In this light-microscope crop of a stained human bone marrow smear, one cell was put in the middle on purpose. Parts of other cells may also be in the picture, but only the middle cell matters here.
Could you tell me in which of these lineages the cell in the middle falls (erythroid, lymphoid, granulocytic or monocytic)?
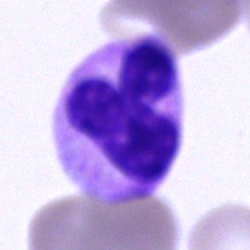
granulocytic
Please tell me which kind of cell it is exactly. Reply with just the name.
segmented neutrophil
